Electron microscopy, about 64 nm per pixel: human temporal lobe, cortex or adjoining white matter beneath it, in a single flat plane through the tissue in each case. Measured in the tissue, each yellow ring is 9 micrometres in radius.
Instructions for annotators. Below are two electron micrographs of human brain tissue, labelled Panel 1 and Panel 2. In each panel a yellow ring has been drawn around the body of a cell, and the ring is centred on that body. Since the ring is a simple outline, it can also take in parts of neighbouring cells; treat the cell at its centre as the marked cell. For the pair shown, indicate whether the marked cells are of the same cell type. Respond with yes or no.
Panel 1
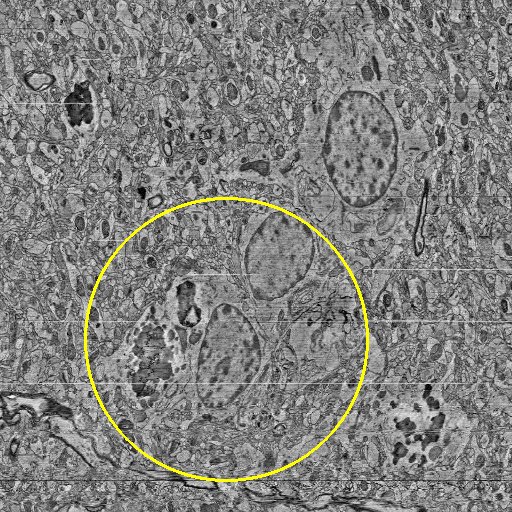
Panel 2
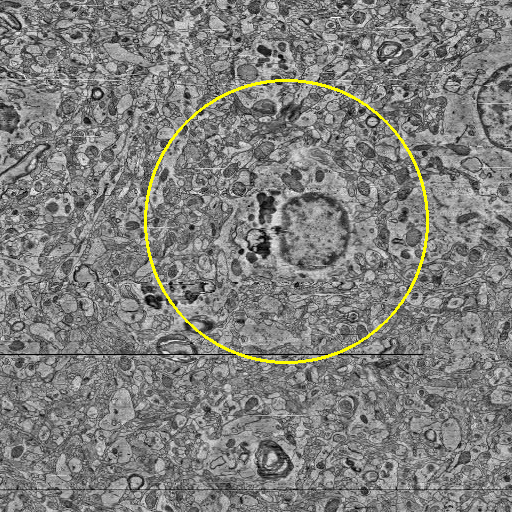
yes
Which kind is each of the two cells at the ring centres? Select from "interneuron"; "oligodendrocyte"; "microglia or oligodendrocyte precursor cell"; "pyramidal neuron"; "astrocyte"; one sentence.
Each of the two rings is centred on an astrocyte.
